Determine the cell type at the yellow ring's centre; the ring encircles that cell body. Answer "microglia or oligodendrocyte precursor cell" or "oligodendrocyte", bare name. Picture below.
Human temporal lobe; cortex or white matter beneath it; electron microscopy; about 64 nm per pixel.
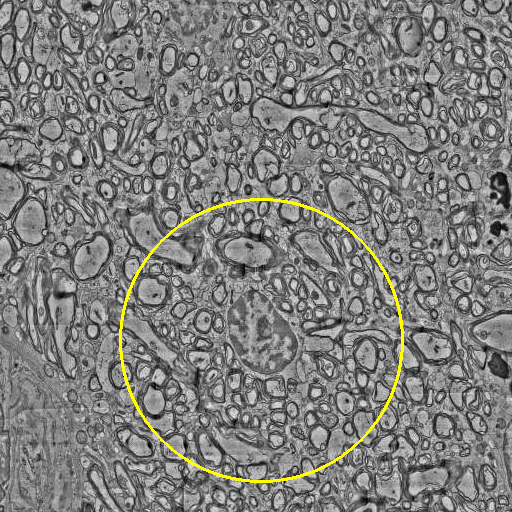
microglia or oligodendrocyte precursor cell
